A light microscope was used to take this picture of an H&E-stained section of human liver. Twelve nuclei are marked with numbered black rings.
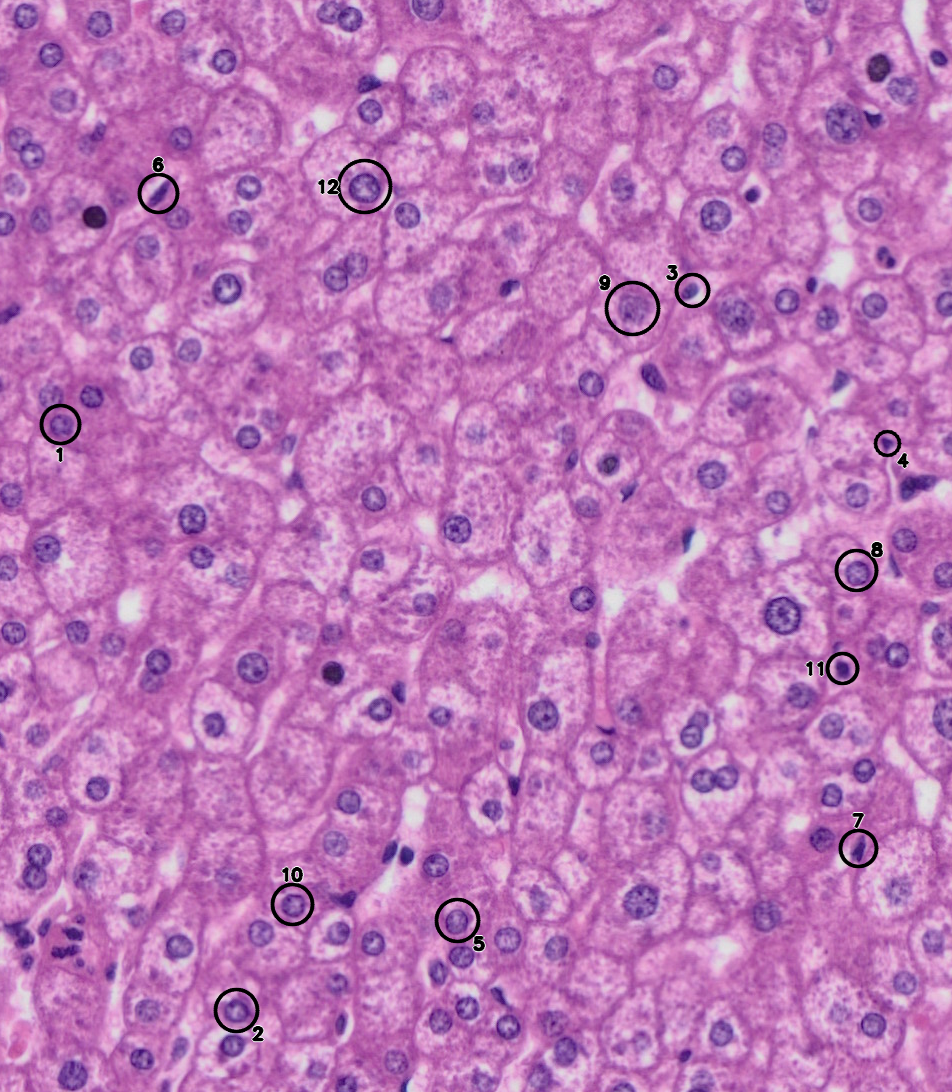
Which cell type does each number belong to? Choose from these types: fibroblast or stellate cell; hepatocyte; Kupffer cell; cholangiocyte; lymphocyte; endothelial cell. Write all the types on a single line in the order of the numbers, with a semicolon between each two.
hepatocyte; hepatocyte; lymphocyte; fibroblast or stellate cell; hepatocyte; Kupffer cell; endothelial cell; hepatocyte; hepatocyte; hepatocyte; lymphocyte; hepatocyte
